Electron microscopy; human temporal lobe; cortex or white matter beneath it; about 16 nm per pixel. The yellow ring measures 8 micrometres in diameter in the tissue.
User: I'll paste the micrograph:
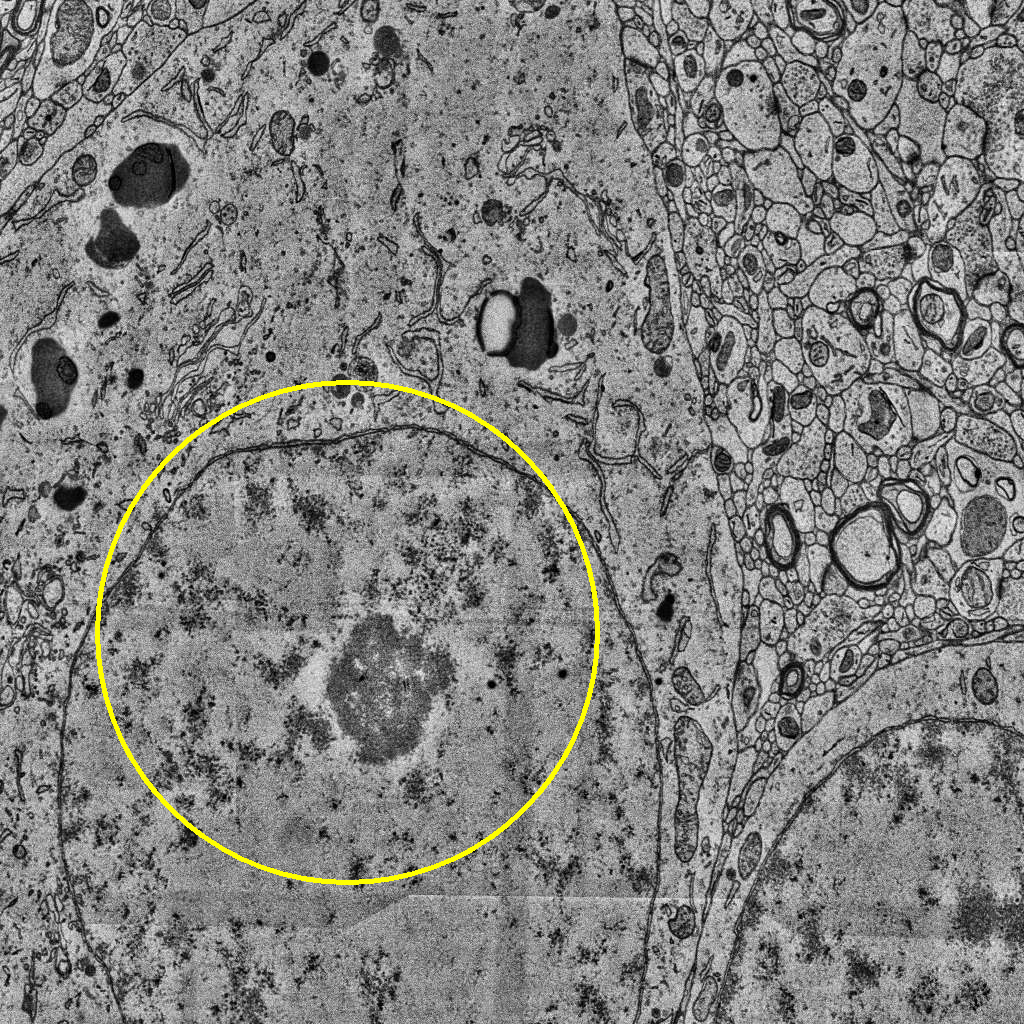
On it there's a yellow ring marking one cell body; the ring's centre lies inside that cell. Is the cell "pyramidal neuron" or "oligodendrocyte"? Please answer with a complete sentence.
The cell at the centre of the yellow ring is a pyramidal neuron.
